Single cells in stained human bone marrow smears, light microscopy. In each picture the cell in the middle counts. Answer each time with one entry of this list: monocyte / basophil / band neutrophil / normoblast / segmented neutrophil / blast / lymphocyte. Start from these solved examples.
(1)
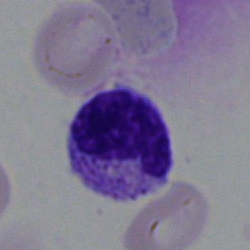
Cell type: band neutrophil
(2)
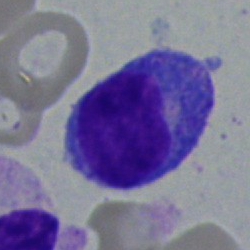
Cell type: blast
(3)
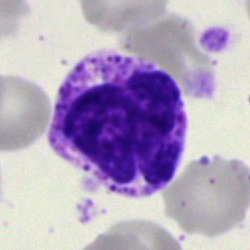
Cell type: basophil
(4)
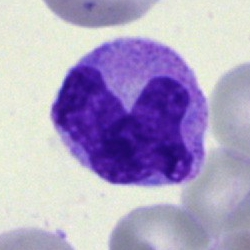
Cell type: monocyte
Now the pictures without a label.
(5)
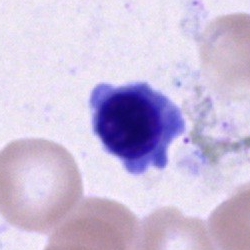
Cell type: normoblast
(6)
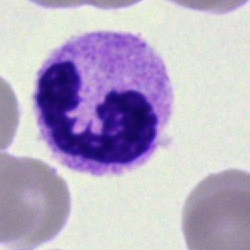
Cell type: segmented neutrophil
